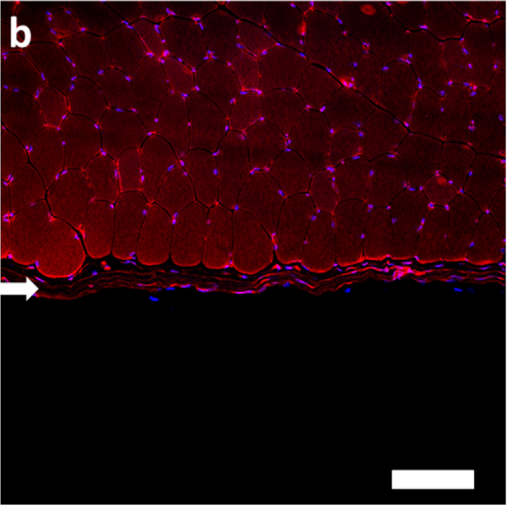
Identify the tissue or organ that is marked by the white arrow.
Fascia.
